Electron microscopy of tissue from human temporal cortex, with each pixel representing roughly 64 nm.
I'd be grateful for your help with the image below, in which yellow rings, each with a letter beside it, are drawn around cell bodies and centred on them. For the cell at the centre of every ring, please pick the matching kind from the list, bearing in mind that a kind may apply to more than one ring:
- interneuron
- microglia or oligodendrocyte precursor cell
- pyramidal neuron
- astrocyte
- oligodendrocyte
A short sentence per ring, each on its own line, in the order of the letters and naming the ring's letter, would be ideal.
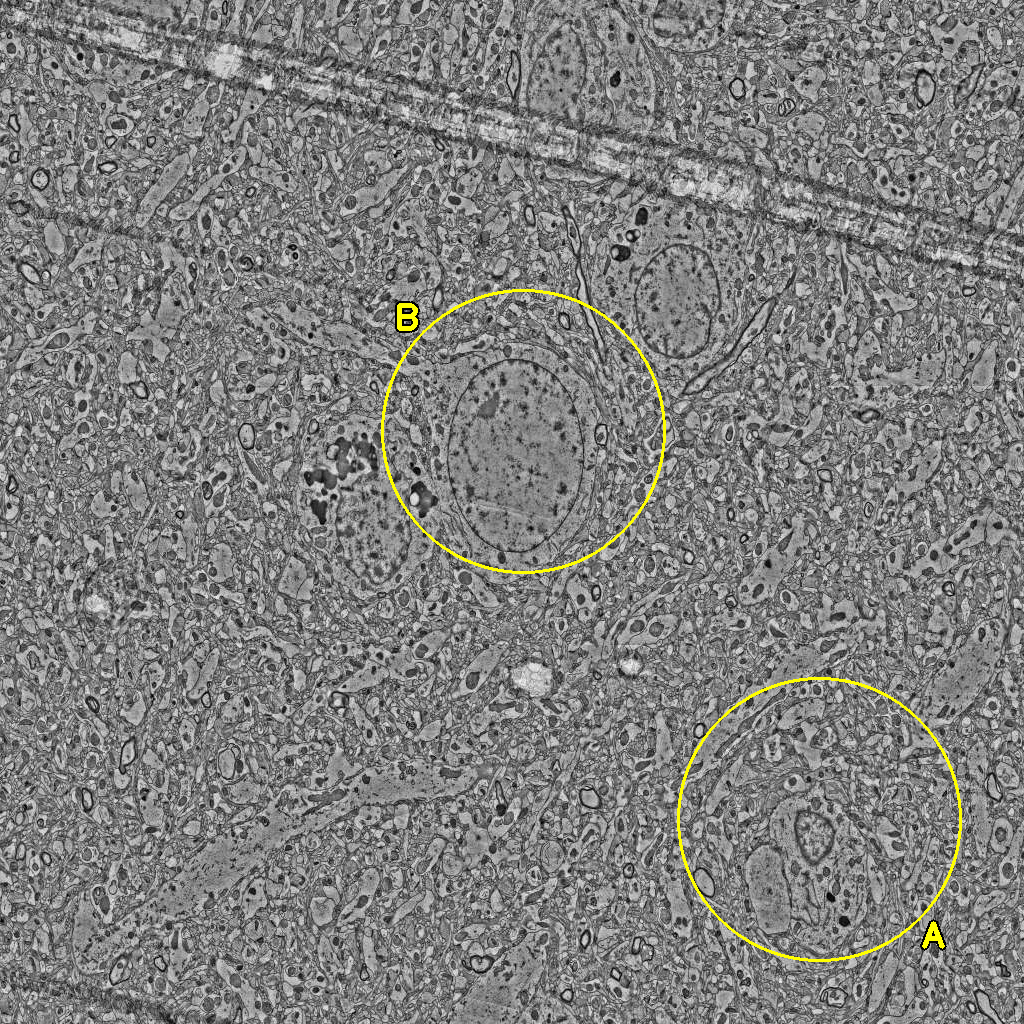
Inside ring A, the central cell is a pyramidal neuron.
Inside ring B, the central cell is a pyramidal neuron.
